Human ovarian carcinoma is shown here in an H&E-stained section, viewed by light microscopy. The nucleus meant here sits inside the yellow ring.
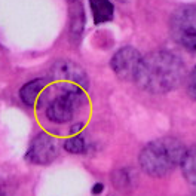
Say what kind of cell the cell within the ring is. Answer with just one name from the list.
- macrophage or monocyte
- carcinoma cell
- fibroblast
carcinoma cell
